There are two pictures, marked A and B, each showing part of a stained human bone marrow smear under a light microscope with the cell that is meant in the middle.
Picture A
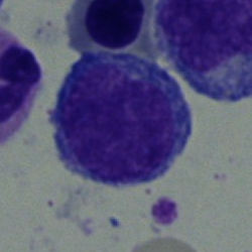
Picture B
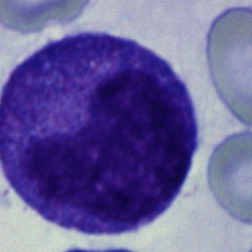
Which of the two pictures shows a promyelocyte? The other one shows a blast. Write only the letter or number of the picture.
B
